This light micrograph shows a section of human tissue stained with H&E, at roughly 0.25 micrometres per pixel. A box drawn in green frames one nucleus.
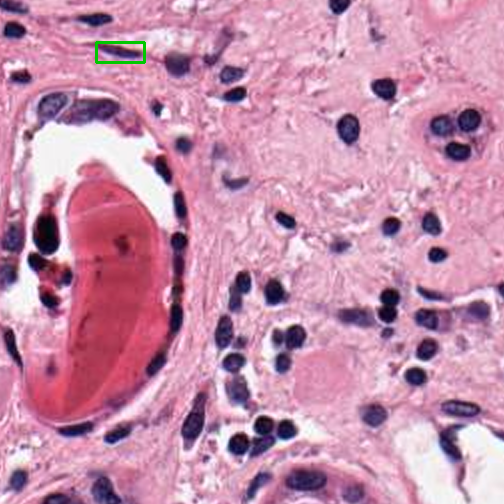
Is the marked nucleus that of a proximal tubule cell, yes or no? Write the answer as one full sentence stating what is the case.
No, the marked nucleus is found in a supporting cell instead of in a proximal tubule cell.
